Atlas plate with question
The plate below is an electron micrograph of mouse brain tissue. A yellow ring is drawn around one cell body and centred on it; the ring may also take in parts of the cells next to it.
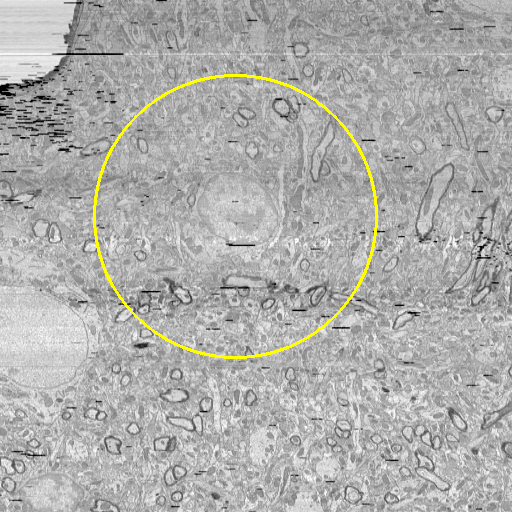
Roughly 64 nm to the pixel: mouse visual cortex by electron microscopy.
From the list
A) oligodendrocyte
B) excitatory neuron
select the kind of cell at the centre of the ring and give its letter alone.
A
